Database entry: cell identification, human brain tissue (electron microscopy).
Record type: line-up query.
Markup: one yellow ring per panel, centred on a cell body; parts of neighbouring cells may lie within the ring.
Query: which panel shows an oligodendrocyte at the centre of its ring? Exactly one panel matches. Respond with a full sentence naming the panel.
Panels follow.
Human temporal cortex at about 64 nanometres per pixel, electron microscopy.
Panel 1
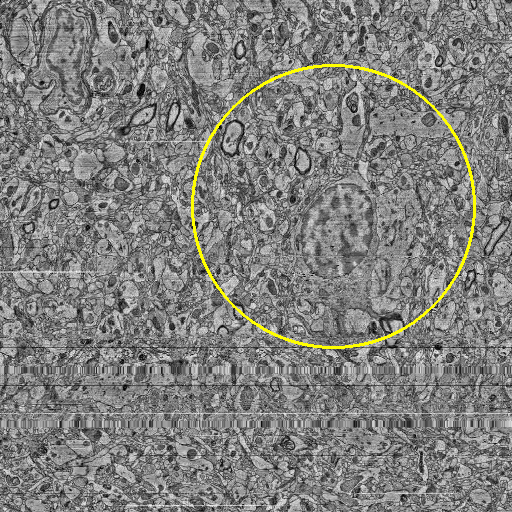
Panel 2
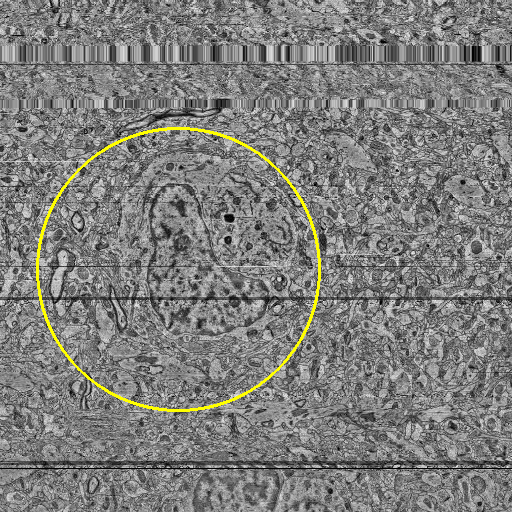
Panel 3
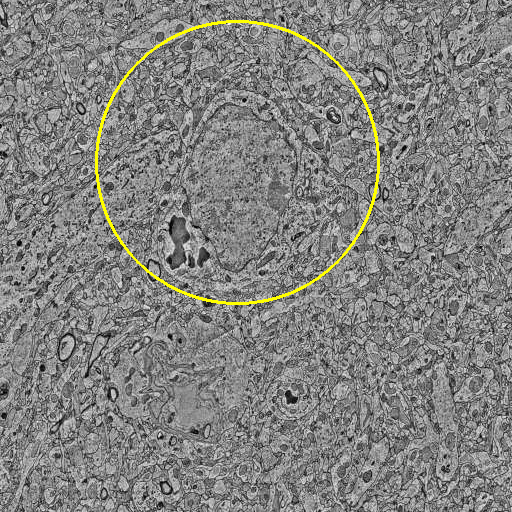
Panel 1 shows it at the centre of the ring.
